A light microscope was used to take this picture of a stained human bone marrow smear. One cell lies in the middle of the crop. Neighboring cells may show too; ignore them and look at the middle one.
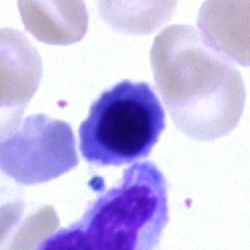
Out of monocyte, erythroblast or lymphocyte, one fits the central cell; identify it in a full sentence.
Answering briefly, the cell in the middle is an erythroblast.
